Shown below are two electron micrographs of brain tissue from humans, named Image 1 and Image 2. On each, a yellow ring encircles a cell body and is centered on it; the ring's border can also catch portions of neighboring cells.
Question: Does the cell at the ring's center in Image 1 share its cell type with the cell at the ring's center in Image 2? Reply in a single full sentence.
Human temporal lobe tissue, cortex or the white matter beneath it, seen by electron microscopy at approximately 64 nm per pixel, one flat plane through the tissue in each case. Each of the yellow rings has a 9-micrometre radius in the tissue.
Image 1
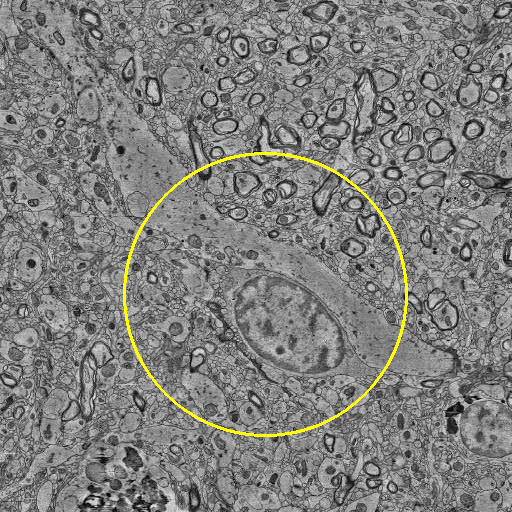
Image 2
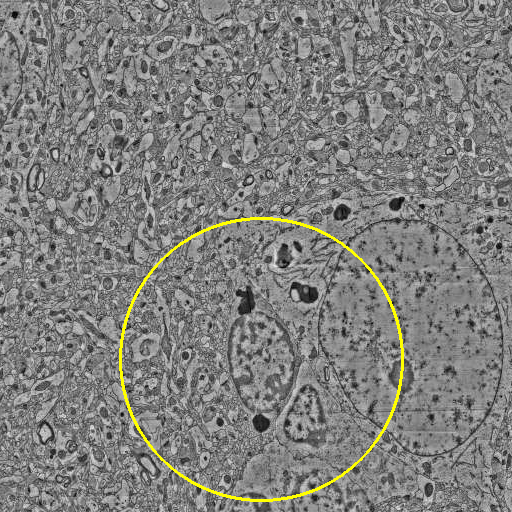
Yes, the two cells at the ring centers, in Image 1 and Image 2, share one cell type.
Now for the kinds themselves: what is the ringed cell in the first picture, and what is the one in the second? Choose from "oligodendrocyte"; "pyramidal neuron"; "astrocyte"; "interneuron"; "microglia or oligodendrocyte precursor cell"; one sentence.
Each of the ringed cells, first and second, is an oligodendrocyte.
